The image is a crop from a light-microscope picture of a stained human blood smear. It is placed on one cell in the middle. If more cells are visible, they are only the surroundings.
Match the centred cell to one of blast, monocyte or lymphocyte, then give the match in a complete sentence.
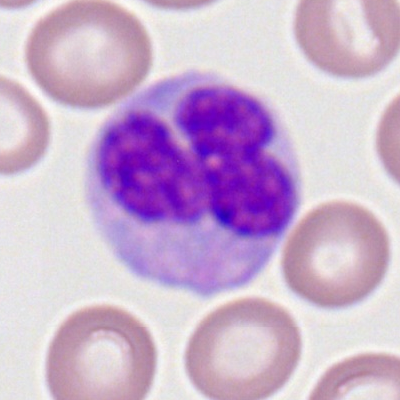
Located at the centre of the crop is a monocyte.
